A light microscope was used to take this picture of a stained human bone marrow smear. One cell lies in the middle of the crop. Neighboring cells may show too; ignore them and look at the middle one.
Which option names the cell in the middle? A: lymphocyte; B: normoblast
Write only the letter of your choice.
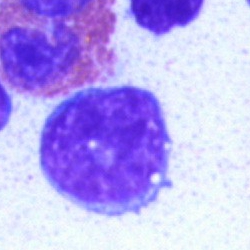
A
